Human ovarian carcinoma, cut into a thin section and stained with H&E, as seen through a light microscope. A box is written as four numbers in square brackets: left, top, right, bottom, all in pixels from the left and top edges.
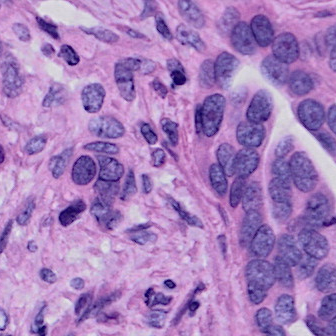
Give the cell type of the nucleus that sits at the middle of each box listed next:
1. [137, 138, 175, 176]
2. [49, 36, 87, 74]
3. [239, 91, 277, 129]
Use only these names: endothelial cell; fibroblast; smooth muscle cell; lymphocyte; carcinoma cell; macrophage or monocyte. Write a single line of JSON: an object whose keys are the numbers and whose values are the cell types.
{"1": "fibroblast", "2": "lymphocyte", "3": "carcinoma cell"}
